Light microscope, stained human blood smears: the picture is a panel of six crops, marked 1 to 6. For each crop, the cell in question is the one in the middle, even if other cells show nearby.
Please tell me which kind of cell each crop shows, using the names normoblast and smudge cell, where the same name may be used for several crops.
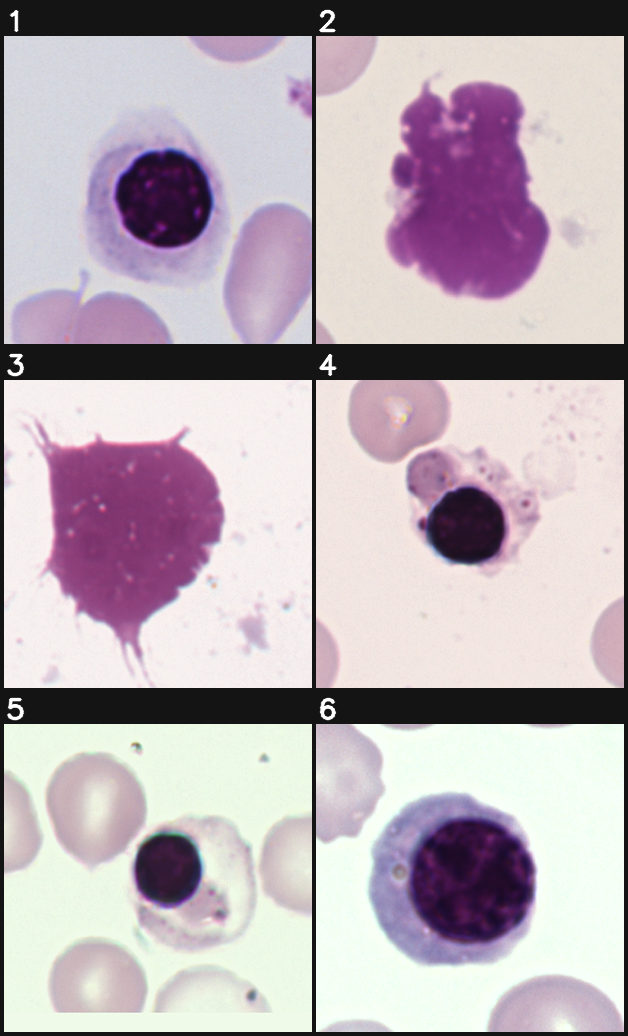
1: normoblast
2: smudge cell
3: smudge cell
4: normoblast
5: normoblast
6: normoblast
